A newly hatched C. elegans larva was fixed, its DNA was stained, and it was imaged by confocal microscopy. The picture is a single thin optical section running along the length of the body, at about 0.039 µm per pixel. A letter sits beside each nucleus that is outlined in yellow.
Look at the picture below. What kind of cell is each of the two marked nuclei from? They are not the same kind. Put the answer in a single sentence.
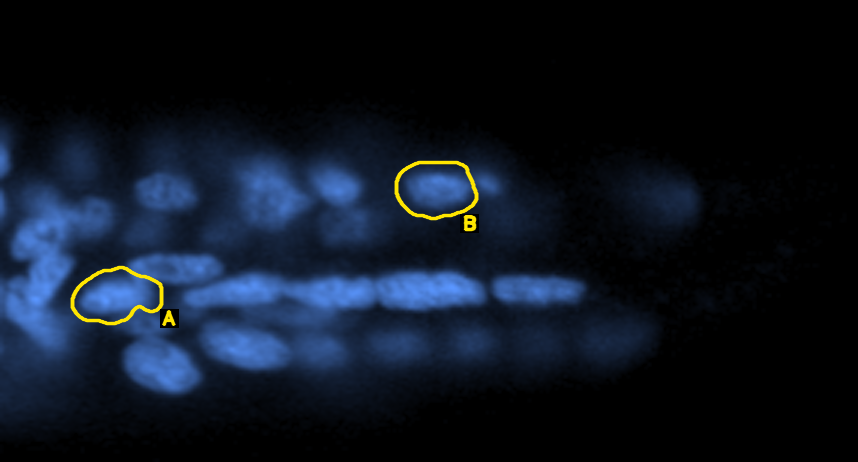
B belongs to a hypodermal cell (hyp), and A to a neuron.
